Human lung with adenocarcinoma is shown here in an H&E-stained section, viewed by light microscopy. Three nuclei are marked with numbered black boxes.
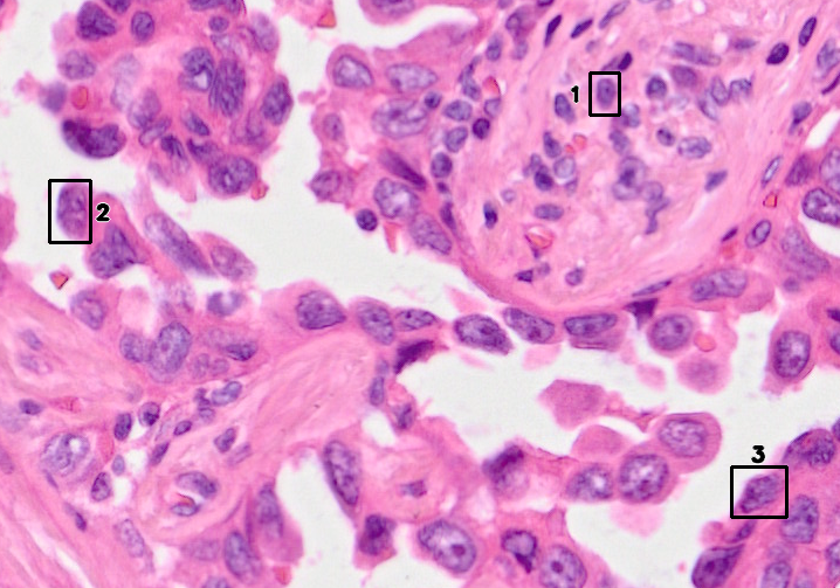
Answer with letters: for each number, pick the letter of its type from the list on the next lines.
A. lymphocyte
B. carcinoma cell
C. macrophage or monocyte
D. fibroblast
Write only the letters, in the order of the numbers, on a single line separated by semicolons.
A; B; B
